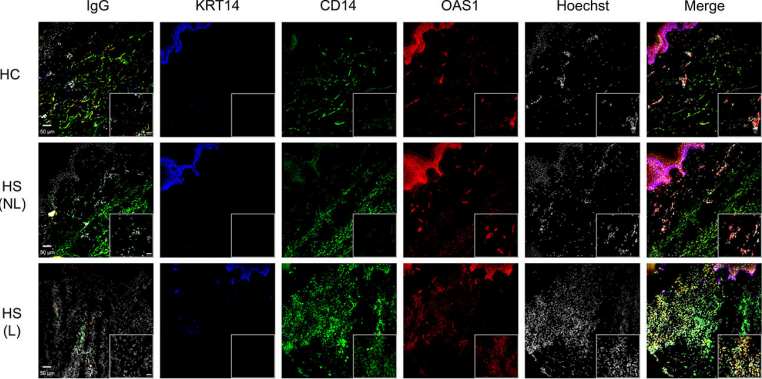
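Sections of skin with a blue-marked epidermal band at one edge and dermis beneath, in which white nuclei lie scattered. Green-marked cells are sparse and strand-like in the upper rows but dense and crowded in the bottom row. In that row, red and green overlap to give yellow in the merged image.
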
